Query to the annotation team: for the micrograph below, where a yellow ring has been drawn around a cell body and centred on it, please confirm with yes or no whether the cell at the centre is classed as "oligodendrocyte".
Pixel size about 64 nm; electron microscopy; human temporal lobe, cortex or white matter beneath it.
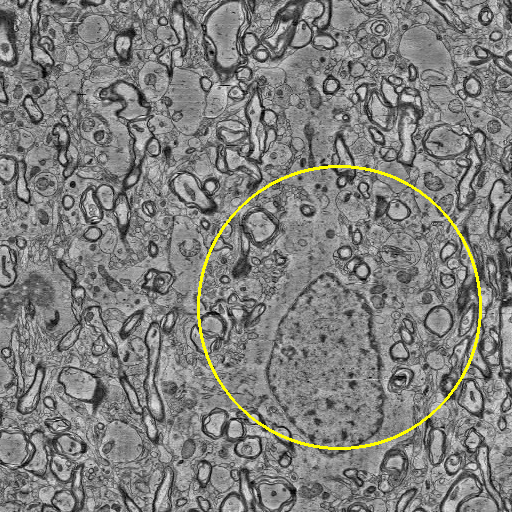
No, it belongs to another class.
